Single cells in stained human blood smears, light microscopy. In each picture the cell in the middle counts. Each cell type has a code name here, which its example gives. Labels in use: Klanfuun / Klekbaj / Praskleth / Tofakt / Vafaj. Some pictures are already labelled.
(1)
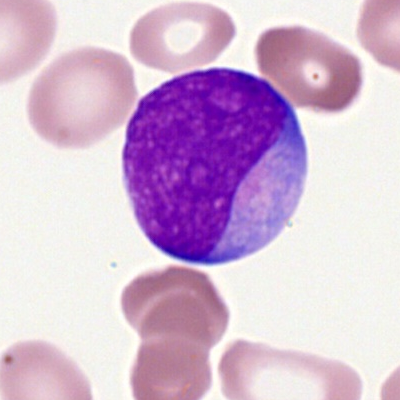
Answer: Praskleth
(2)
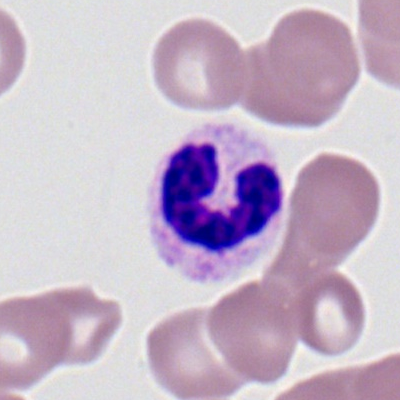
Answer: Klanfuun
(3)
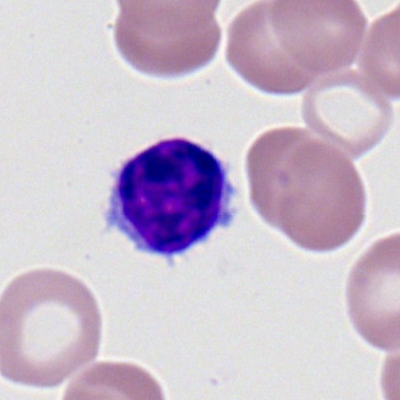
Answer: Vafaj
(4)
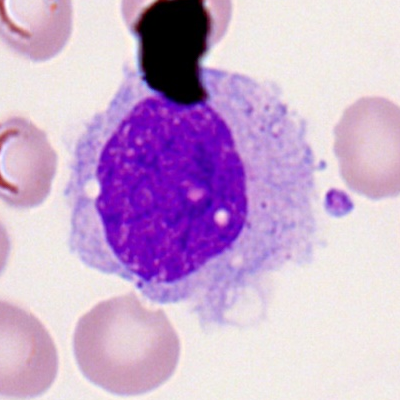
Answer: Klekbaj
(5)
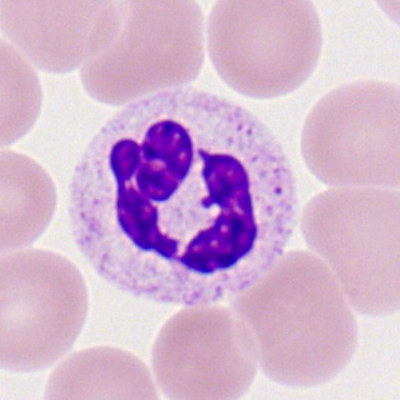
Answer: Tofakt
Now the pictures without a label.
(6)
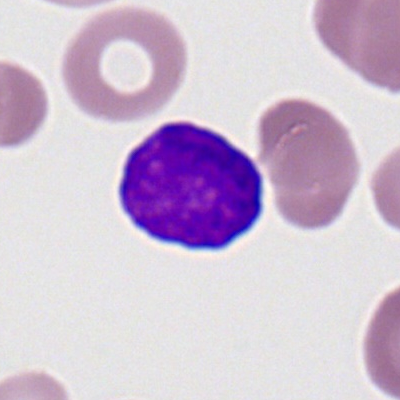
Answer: Vafaj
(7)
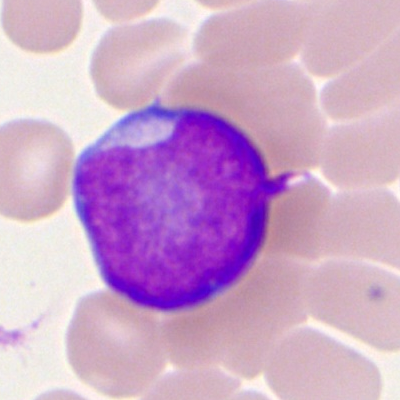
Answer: Praskleth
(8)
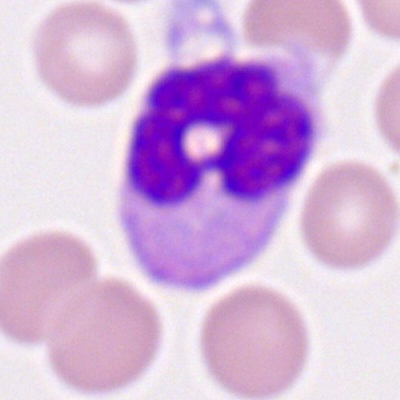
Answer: Klekbaj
